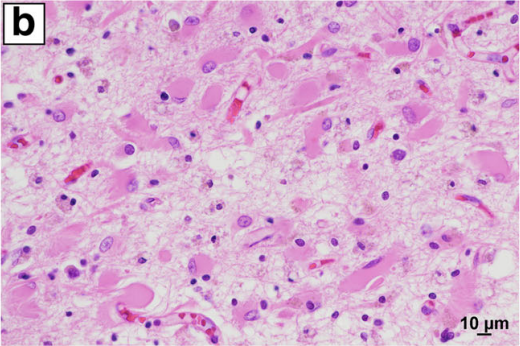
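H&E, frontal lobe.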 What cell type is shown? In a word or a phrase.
gemistocytic astrocytes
